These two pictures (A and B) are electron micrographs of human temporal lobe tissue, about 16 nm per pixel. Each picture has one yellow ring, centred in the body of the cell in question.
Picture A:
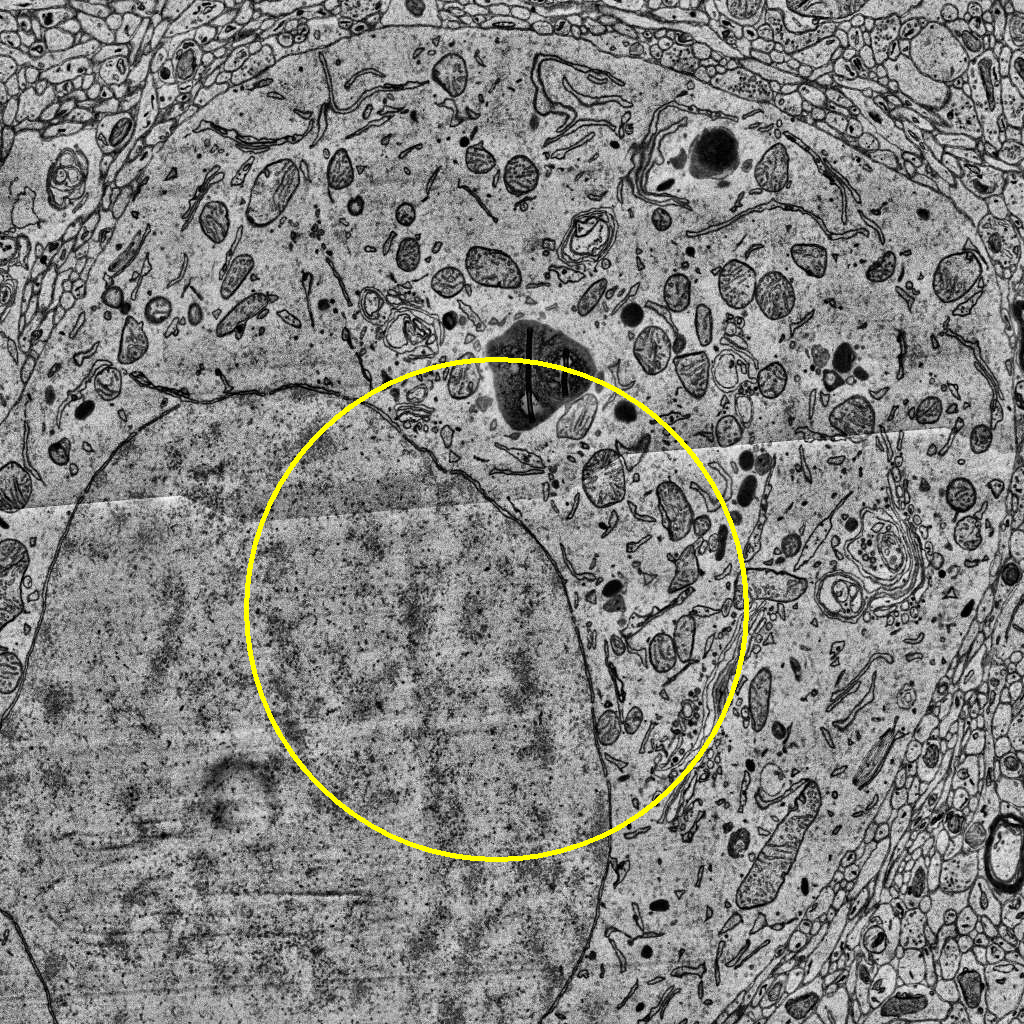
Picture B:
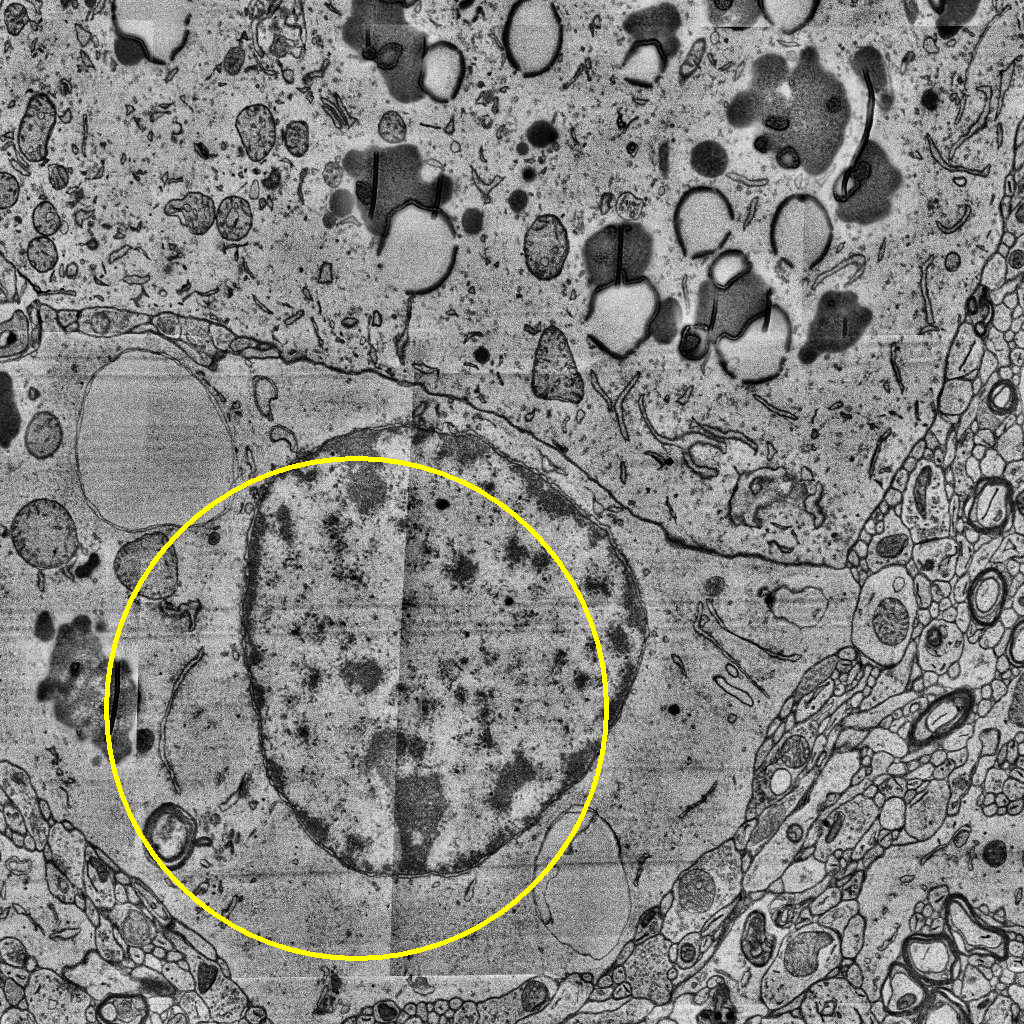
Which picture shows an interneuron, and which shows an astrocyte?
Picture A is of an interneuron, and picture B is of an astrocyte.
